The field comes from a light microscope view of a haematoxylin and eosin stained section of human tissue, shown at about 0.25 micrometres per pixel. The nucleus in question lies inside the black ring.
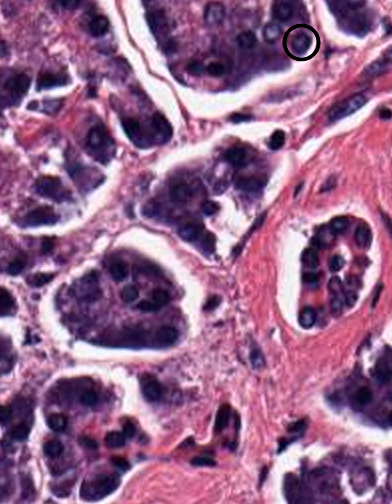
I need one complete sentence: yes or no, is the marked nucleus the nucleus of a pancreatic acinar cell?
Yes, a pancreatic acinar cell holds the marked nucleus.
